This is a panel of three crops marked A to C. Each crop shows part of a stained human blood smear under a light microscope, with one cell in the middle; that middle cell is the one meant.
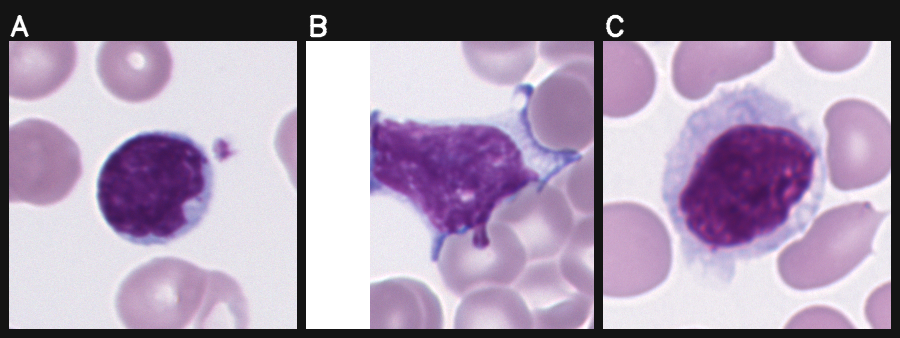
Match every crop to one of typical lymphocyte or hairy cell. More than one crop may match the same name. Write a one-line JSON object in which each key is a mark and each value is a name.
{"A": "typical lymphocyte", "B": "typical lymphocyte", "C": "hairy cell"}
